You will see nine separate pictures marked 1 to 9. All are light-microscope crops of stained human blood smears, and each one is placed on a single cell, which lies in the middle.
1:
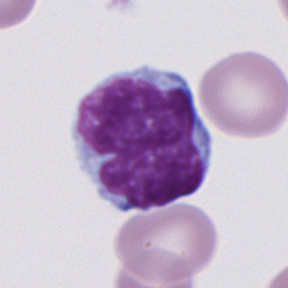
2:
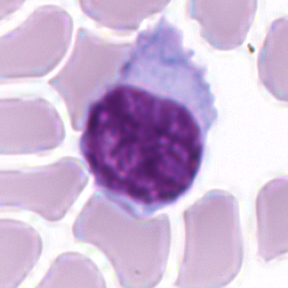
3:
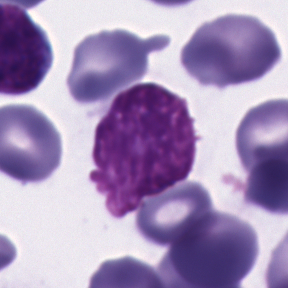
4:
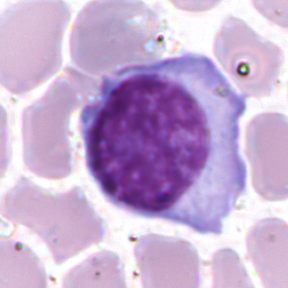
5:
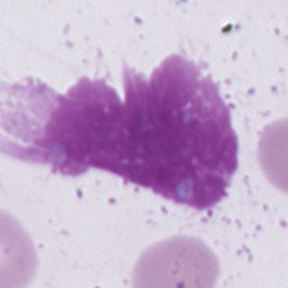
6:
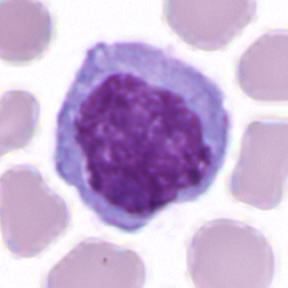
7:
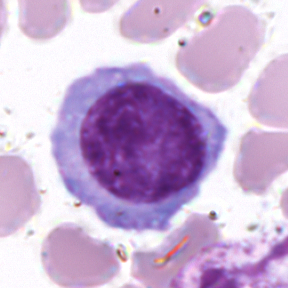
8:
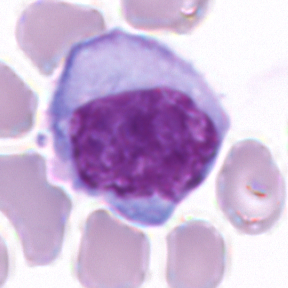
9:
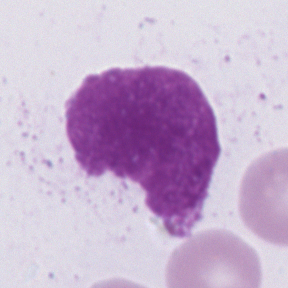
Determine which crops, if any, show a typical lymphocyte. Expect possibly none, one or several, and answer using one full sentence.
There is a typical lymphocyte in crop 1 and in none of the other crops.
